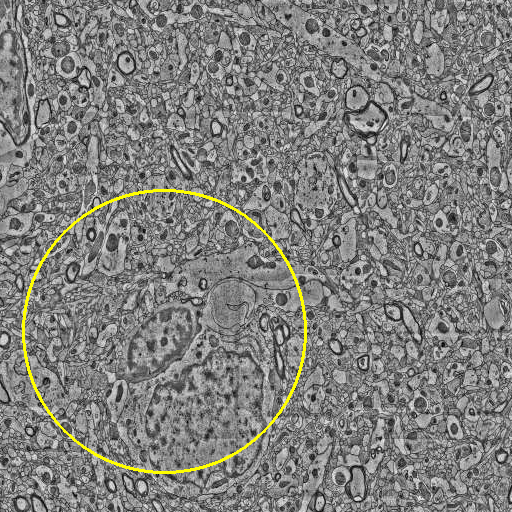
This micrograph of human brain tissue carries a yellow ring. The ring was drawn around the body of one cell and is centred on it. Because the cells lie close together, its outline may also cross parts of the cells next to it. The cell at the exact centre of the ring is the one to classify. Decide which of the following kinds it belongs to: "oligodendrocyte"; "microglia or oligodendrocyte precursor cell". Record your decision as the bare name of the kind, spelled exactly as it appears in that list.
oligodendrocyte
